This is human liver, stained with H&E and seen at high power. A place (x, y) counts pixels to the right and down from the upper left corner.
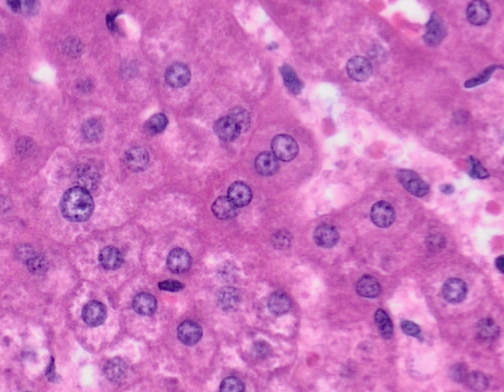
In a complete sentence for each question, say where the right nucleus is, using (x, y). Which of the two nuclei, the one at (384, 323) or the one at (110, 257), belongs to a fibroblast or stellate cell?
Of the two options, the nucleus at (384, 323) is the one that belongs to a fibroblast or stellate cell.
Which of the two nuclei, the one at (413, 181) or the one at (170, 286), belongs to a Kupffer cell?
Of these two nuclei, only the one at (413, 181) belongs to a Kupffer cell.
